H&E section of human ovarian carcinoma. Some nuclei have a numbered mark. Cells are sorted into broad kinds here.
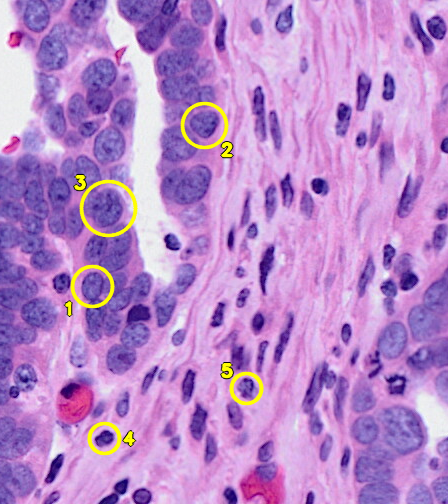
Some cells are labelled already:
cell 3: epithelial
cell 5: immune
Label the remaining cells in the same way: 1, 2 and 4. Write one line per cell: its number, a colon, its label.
1: epithelial
2: epithelial
4: immune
